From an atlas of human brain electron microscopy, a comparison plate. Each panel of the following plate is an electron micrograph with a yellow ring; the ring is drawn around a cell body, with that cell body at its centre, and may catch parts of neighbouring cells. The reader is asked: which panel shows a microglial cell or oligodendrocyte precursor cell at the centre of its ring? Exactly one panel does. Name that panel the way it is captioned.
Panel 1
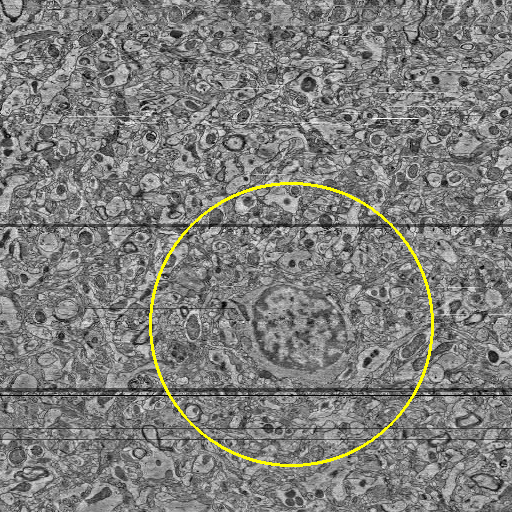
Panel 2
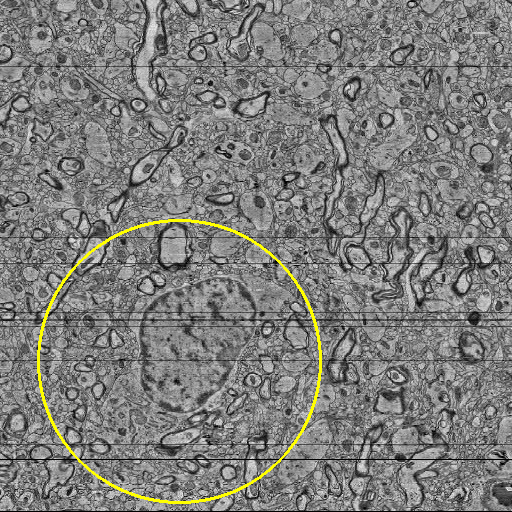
Panel 2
